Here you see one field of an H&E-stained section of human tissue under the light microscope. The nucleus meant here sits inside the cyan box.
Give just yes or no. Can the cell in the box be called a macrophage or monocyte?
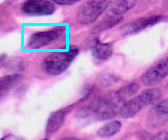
no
